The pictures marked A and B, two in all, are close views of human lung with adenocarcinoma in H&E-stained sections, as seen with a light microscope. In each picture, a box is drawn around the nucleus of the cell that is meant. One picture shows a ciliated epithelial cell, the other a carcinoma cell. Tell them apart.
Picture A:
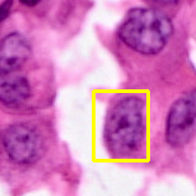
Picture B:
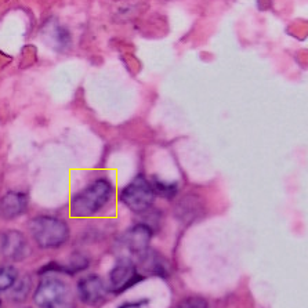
A: carcinoma cell
B: ciliated epithelial cell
